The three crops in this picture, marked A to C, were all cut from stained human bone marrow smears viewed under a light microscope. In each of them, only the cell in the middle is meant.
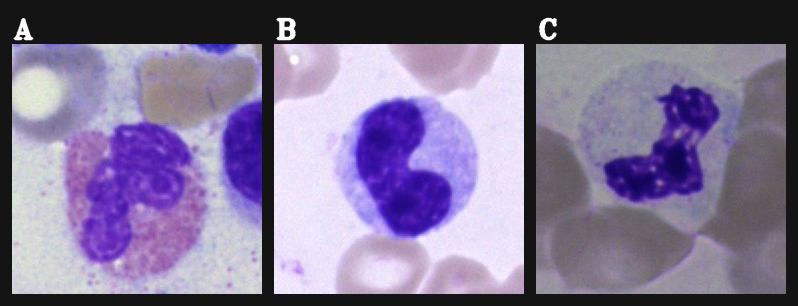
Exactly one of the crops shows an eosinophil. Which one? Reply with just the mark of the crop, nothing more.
A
